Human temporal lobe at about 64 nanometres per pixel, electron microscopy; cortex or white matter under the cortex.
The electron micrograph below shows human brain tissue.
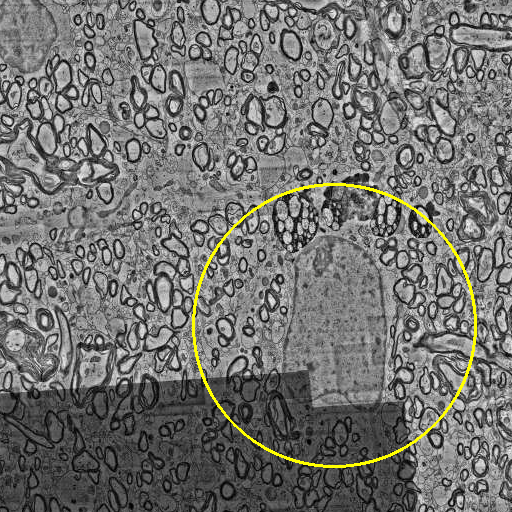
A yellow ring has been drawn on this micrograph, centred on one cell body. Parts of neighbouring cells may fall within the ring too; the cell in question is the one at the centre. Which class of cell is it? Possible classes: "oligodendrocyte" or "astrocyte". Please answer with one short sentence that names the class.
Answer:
In the centre of the ring sits an astrocyte.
